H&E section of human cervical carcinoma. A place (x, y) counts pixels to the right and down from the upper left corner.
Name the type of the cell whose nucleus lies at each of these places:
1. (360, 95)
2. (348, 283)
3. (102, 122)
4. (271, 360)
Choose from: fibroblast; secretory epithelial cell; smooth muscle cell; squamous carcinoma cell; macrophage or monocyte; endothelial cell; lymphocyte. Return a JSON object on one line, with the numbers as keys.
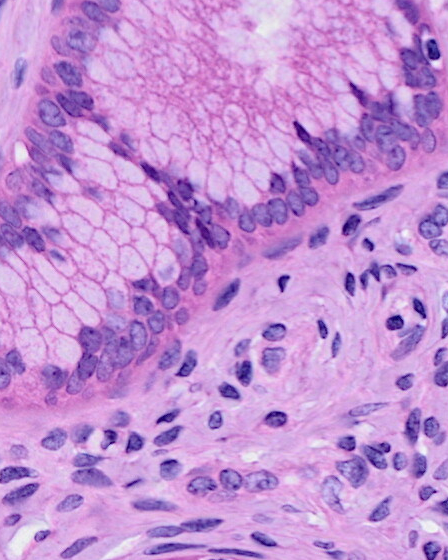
{"1": "secretory epithelial cell", "2": "fibroblast", "3": "secretory epithelial cell", "4": "endothelial cell"}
